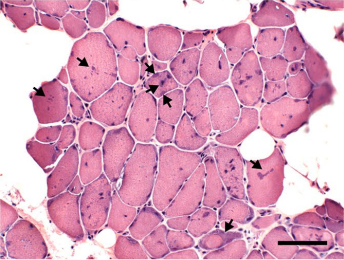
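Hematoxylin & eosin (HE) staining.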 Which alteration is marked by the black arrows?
cytoplasmic inclusions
